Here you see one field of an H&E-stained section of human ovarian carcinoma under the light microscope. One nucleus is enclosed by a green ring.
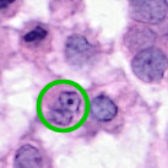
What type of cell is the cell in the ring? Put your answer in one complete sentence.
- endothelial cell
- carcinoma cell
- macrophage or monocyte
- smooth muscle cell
For cell typing purposes, the cell in the ring is a macrophage or monocyte.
